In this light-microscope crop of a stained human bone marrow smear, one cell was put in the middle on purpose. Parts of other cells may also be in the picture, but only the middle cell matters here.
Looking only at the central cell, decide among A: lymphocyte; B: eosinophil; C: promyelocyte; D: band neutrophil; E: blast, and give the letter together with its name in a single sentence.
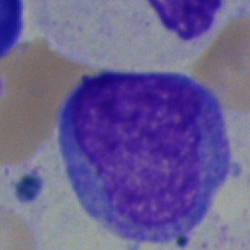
Given that the cell in the middle is a blast, option E is correct.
